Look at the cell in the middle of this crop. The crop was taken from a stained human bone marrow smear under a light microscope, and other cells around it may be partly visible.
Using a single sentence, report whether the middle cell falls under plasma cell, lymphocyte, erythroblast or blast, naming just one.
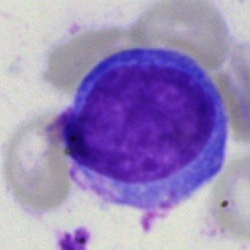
The cell shown in the center of this light-microscope crop is a blast.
